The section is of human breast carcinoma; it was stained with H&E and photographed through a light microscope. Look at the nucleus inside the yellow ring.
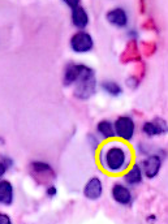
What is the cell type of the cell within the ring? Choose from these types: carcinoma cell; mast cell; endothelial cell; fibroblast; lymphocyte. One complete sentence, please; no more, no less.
Right, so the cell within the ring is a lymphocyte, to answer that.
